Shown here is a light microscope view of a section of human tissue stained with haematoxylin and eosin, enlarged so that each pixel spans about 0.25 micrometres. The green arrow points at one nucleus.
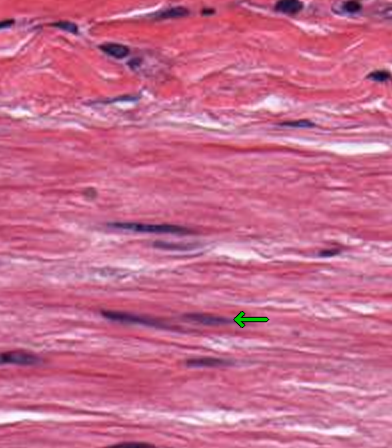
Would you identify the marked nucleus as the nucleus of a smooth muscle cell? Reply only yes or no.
yes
